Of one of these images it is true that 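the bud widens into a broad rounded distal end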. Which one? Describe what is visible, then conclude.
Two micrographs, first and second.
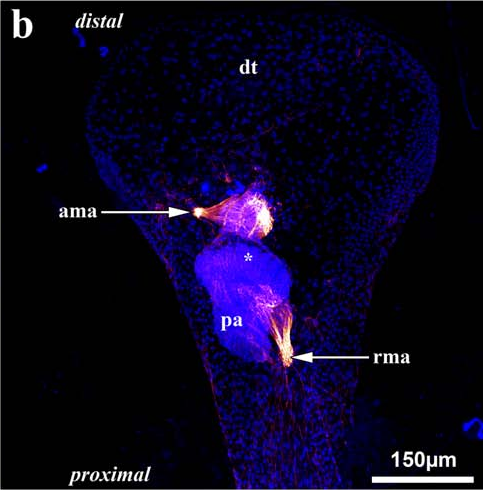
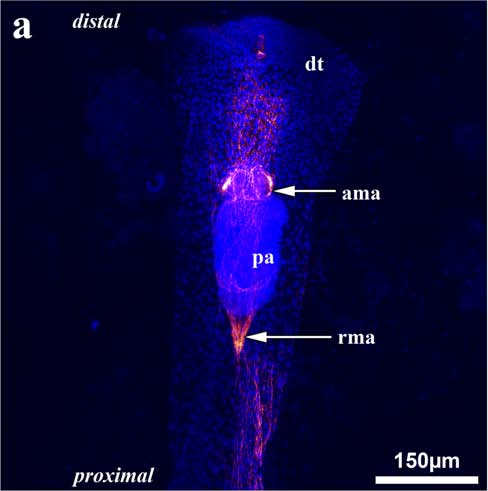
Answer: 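The first image. First image: the distal end of the bud is bulbous, much wider than the stalk.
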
